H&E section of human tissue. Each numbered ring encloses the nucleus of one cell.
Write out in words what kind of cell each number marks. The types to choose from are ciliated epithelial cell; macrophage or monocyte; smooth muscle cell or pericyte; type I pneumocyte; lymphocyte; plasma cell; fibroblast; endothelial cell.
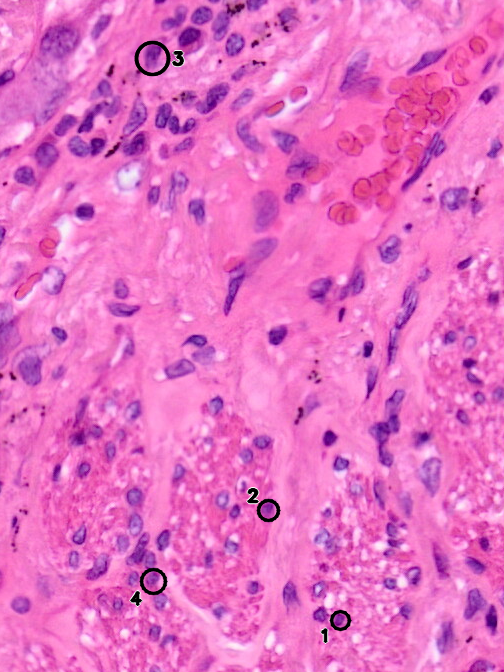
Cell 1 is a smooth muscle cell or pericyte, cell 2 is a smooth muscle cell or pericyte, cell 3 is a plasma cell and cell 4 is a smooth muscle cell or pericyte.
